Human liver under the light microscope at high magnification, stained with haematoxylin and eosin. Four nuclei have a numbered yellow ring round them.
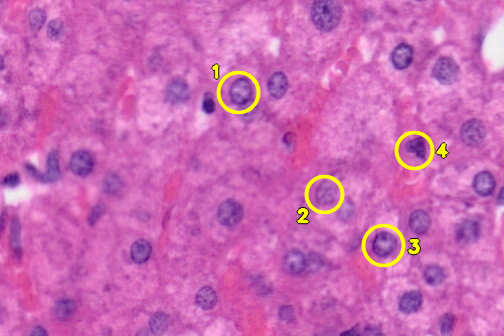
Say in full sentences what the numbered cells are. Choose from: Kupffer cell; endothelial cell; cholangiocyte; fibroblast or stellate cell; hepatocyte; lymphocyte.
Cells 1, 2 and 3 are hepatocytes. Cell 4 is a fibroblast or stellate cell.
